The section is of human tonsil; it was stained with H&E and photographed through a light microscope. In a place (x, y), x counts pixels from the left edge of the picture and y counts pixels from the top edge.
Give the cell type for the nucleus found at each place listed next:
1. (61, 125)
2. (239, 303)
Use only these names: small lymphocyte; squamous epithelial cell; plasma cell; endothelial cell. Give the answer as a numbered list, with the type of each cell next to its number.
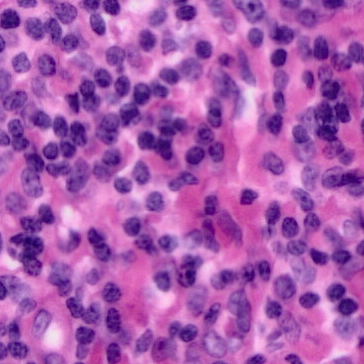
1. small lymphocyte
2. endothelial cell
